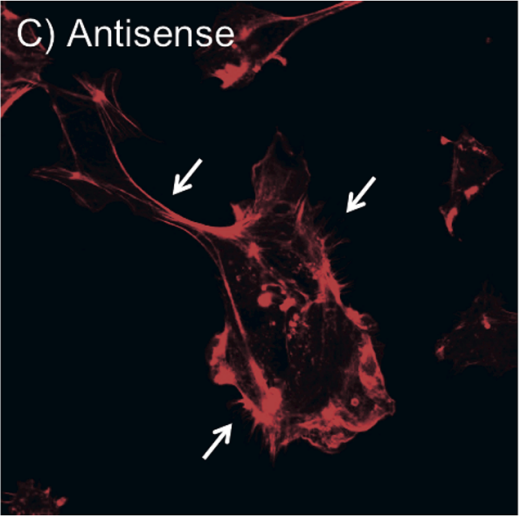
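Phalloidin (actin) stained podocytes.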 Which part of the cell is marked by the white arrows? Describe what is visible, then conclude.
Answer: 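The arrows point at the edge of a red-stained flattened cell. Thin, finger-like spikes of red stain project outward from the cell margin there. One arrow points at a long, thin extension running off toward the upper left.
Filapodia.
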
